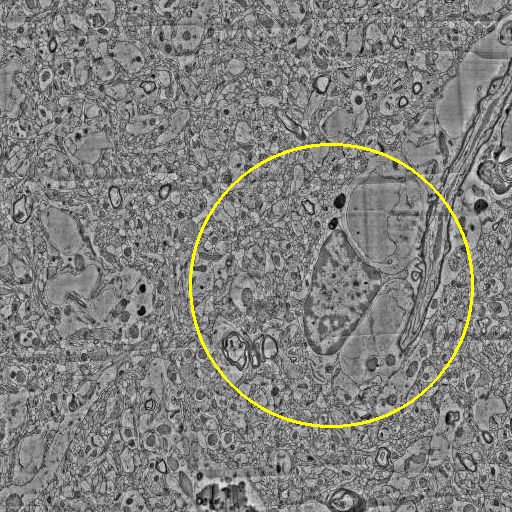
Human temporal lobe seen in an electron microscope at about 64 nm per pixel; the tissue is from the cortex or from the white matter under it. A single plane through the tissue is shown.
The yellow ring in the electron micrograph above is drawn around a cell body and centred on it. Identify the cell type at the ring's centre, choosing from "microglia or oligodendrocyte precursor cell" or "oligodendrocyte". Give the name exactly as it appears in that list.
microglia or oligodendrocyte precursor cell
